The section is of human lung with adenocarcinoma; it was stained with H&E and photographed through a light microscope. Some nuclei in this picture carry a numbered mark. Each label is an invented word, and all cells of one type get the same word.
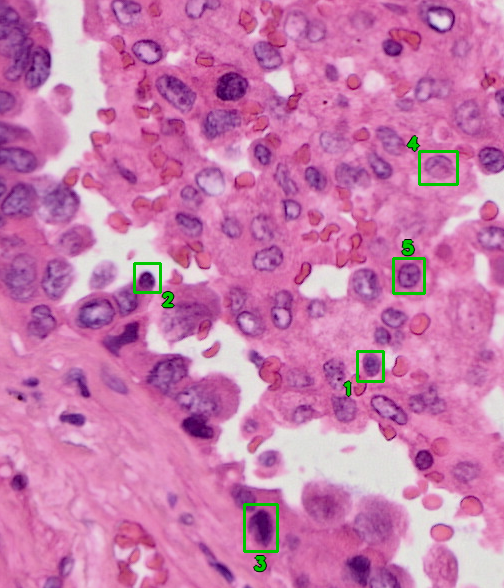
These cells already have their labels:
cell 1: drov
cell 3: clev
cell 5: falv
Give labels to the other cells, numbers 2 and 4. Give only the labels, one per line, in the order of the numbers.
drov
falv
